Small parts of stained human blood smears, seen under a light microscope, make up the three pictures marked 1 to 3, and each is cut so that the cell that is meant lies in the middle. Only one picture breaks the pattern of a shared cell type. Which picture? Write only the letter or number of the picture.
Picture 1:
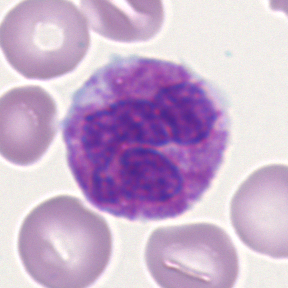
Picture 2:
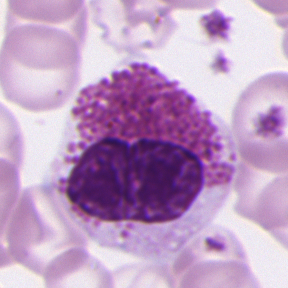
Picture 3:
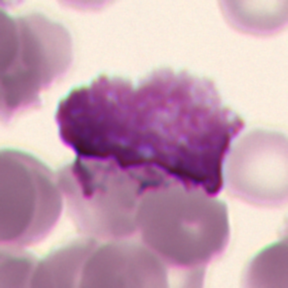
3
